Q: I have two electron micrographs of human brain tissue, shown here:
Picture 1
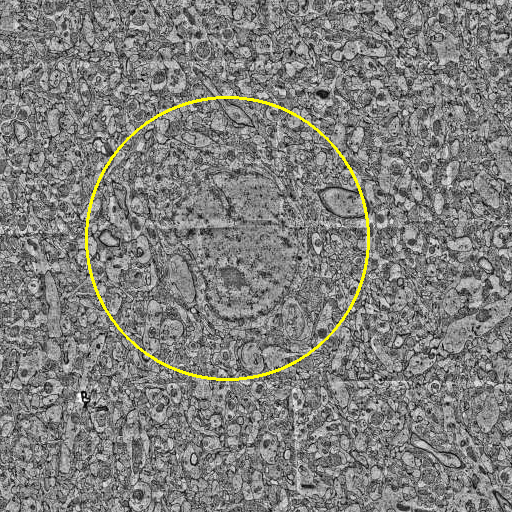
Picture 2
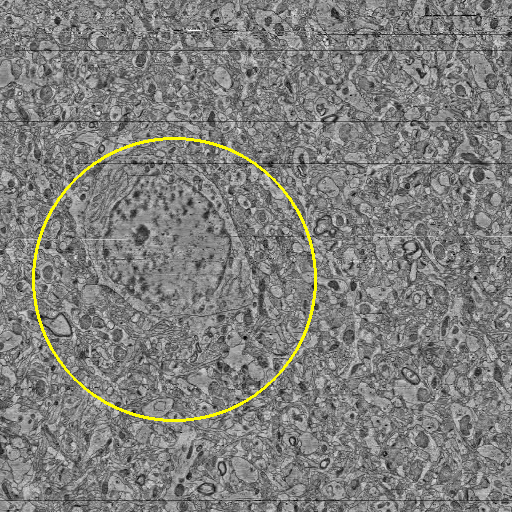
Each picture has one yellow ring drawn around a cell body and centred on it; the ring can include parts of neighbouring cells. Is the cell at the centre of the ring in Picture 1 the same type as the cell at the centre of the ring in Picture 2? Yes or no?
yes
